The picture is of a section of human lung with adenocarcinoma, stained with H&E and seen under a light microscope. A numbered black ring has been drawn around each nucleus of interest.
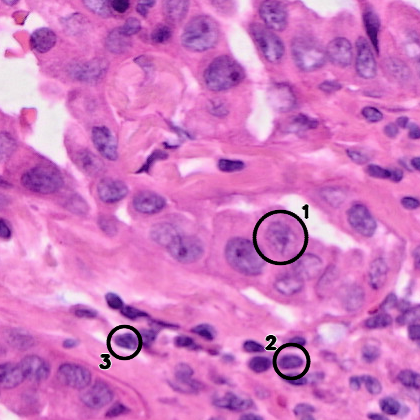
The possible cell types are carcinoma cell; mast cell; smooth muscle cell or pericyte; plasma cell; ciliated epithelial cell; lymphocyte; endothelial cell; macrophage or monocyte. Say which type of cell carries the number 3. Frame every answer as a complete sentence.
Here, the cell given the number 3 is a lymphocyte.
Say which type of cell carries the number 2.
Cell 2 of the marked set is a lymphocyte.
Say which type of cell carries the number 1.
The cell bearing label 1 corresponds to a carcinoma cell.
